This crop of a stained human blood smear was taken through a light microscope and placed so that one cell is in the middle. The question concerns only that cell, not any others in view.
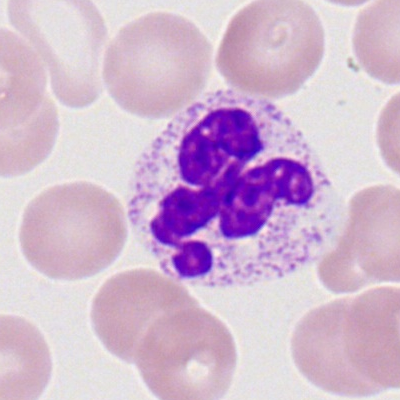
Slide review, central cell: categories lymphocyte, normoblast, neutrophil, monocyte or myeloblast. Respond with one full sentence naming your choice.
Seen at the centre of the crop is a neutrophil.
